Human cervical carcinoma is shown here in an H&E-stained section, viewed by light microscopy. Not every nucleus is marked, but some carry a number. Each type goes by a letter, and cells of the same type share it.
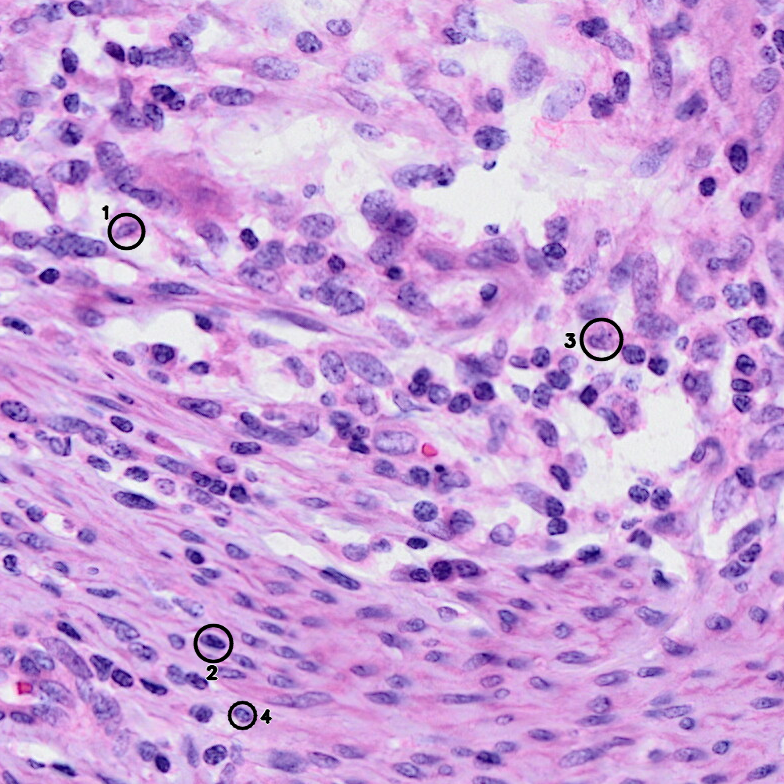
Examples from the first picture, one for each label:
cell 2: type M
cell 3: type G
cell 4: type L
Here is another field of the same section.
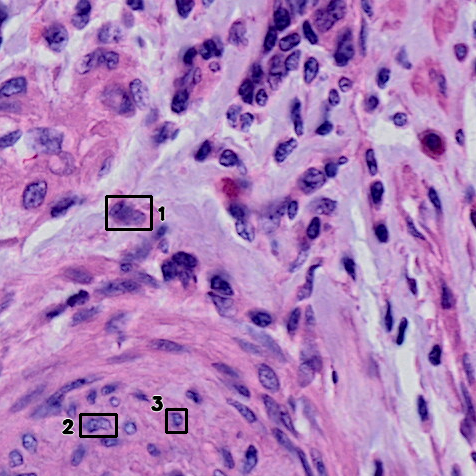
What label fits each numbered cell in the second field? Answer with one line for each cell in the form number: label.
1: type G
2: type L
3: type L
